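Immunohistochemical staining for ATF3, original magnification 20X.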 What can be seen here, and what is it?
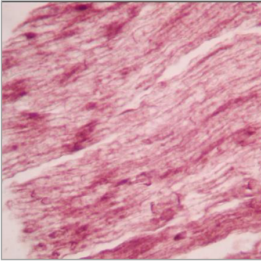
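This is a longitudinal section of peripheral nerve, with long fibres running in parallel, slightly wavy bundles. Darker, elongated purple spots are scattered along and between the fibres, and a clear gap splits the bundle along its length.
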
